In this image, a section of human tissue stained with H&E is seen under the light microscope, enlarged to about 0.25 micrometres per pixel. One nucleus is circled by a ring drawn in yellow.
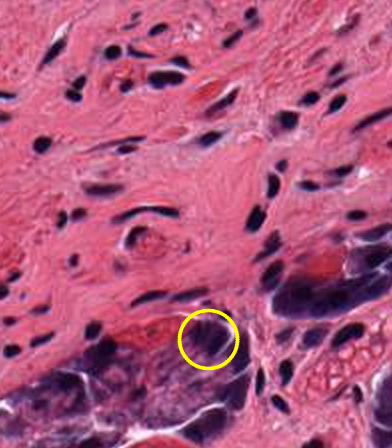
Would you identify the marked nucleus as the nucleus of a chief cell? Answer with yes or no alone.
yes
